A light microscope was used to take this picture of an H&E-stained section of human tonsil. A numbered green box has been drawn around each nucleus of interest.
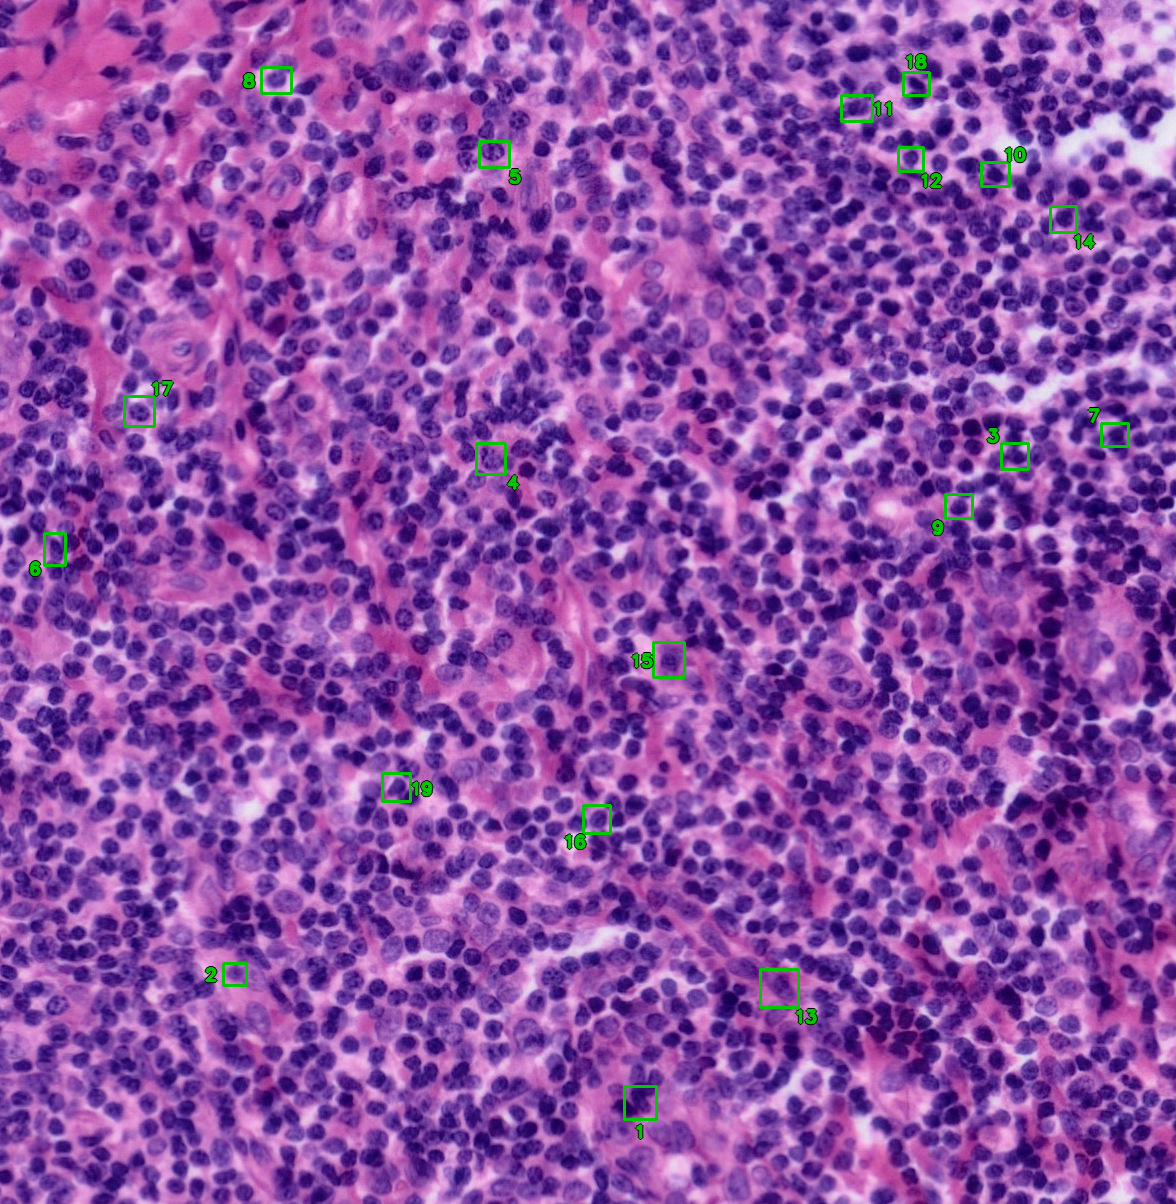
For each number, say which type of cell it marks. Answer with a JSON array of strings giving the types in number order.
["endothelial cell", "endothelial cell", "small lymphocyte", "plasma cell", "plasma cell", "small lymphocyte", "small lymphocyte", "mast cell", "small lymphocyte", "small lymphocyte", "small lymphocyte", "small lymphocyte", "endothelial cell", "small lymphocyte", "endothelial cell", "small lymphocyte", "plasma cell", "proliferating B cell", "small lymphocyte"]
